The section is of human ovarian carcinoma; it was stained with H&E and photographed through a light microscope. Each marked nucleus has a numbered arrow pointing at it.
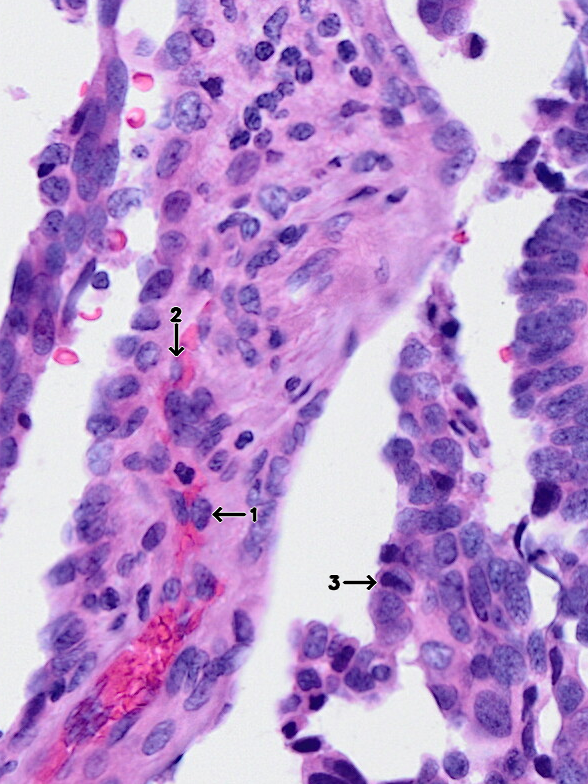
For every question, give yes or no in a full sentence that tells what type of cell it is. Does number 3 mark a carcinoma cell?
Yes, the cell distinguished by number 3 is a carcinoma cell.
